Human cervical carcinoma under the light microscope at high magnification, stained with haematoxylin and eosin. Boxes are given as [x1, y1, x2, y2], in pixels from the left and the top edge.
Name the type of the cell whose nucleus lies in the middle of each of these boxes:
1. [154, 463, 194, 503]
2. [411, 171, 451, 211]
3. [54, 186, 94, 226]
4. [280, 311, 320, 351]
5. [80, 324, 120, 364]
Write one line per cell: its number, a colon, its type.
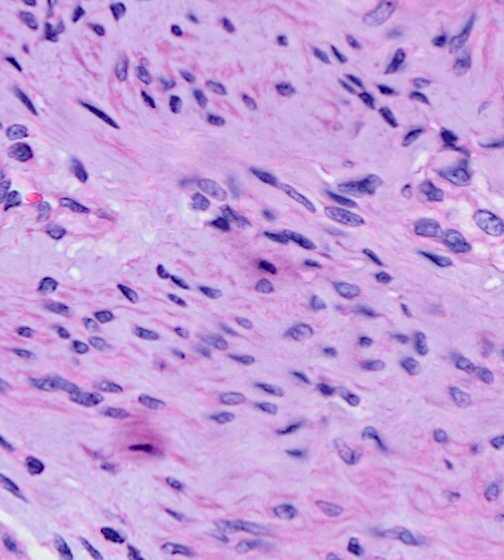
1: smooth muscle cell
2: endothelial cell
3: endothelial cell
4: smooth muscle cell
5: smooth muscle cell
